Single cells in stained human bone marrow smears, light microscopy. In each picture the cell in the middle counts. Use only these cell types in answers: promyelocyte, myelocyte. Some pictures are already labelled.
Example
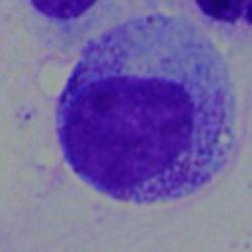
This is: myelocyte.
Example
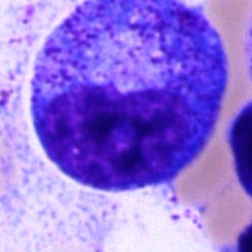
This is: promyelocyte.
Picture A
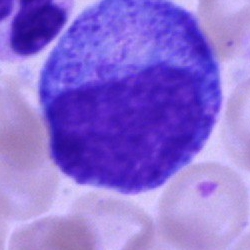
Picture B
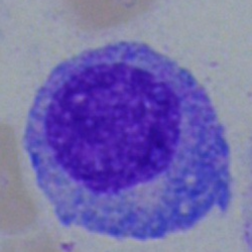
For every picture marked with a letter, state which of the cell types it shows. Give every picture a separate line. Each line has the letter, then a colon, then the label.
A: promyelocyte.
B: promyelocyte.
